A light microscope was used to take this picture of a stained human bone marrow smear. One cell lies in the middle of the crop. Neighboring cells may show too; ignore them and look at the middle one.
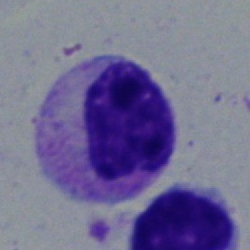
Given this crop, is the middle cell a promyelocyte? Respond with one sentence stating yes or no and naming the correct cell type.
No, this is not a promyelocyte at all; the cell in the middle is a myelocyte.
